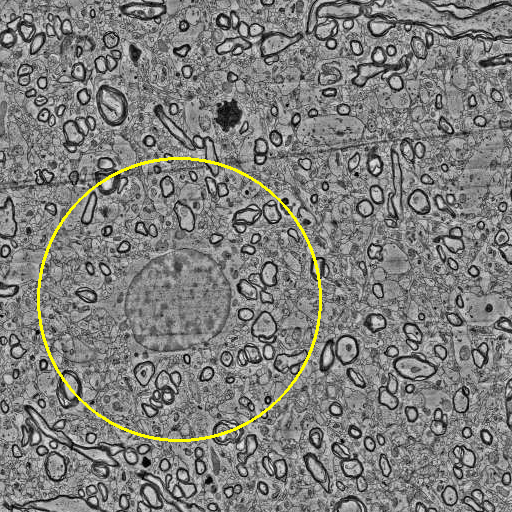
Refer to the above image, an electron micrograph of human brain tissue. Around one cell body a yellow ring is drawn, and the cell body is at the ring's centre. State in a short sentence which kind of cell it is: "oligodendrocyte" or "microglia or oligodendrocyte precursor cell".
The centre of the ring falls on an oligodendrocyte.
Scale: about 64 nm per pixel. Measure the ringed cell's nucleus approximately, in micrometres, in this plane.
The nucleus measures about 7 micrometers across in this plane.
